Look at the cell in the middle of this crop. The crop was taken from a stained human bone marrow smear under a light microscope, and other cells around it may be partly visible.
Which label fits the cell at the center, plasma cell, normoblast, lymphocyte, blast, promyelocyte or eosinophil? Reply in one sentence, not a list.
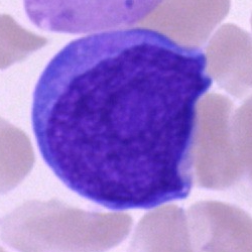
By classification, the middle cell of this crop is a blast.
